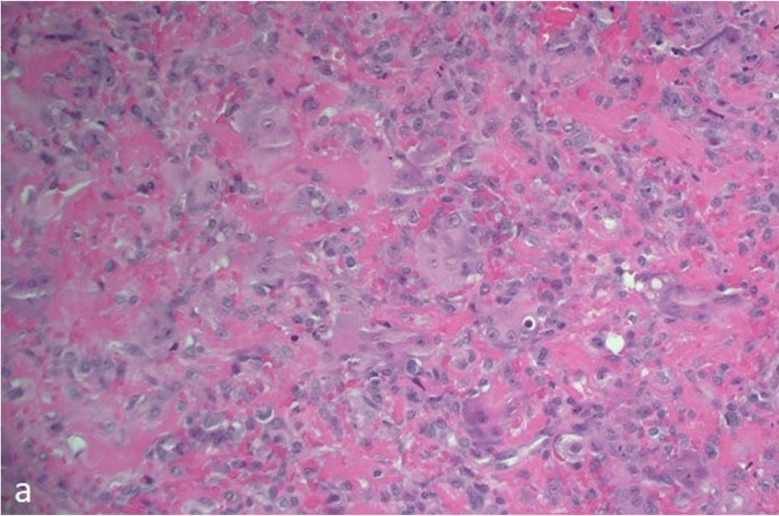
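This densely cellular tissue consists of many giant cells set on a background of stromal cells. The giant cells are large, with abundant pale pink-purple cytoplasm and many nuclei clustered within each cell. Between them the stromal cells are packed closely; they are smaller, with single round to oval purple nuclei and scant cytoplasm, and they show no orderly arrangement. Bright pink strands of extracellular material run irregularly through the field between groups of cells. A few small clear spaces are scattered in the tissue. Overall the field is crowded, with the multinucleated cells distributed evenly throughout rather than clustered in one area.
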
